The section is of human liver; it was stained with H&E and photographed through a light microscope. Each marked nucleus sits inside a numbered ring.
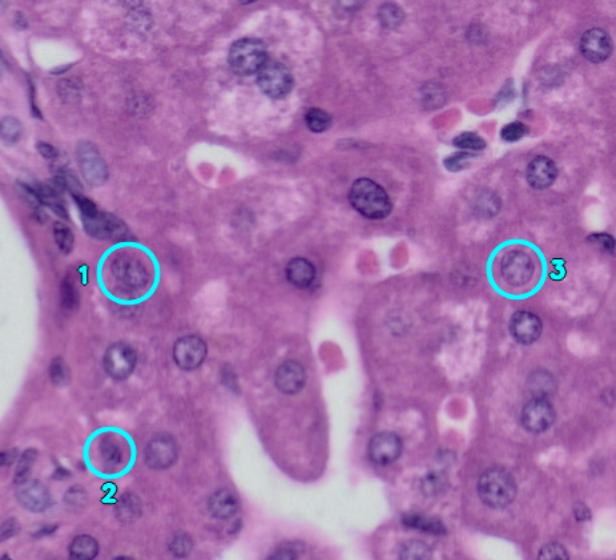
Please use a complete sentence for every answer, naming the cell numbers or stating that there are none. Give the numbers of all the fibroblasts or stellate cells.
The numbered cell that is a fibroblast or stellate cell is cell 2, and it is the only one.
